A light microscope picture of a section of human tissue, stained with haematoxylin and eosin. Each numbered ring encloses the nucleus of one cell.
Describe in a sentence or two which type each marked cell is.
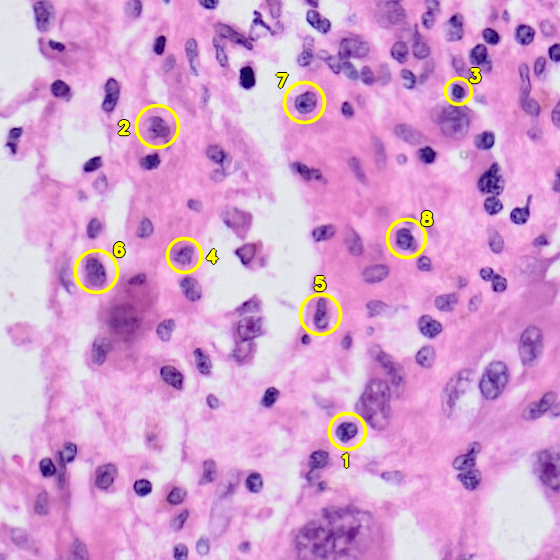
Cell 1 is a lymphocyte, cell 2 is a macrophage or monocyte, cell 3 is a lymphocyte, cell 4 is a macrophage or monocyte, cell 5 is a macrophage or monocyte, cell 6 is a macrophage or monocyte, cell 7 is a lymphocyte and cell 8 is a lymphocyte.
